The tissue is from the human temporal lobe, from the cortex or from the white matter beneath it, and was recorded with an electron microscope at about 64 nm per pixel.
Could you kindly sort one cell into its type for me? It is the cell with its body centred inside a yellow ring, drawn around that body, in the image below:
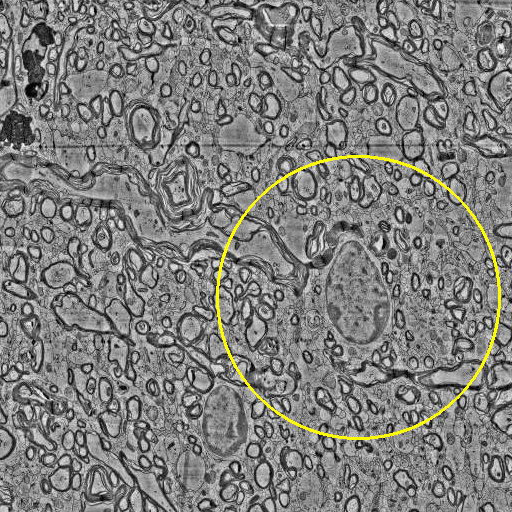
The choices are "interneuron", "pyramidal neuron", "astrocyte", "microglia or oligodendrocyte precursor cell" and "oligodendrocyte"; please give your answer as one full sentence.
The cell whose body lies centred in the yellow ring here is a microglial cell or oligodendrocyte precursor cell.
